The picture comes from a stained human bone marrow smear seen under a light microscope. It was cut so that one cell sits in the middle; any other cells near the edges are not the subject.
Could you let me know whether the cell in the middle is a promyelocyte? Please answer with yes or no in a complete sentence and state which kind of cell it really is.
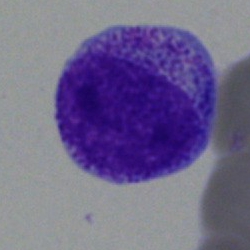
Yes, the cell found in the middle is a promyelocyte.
